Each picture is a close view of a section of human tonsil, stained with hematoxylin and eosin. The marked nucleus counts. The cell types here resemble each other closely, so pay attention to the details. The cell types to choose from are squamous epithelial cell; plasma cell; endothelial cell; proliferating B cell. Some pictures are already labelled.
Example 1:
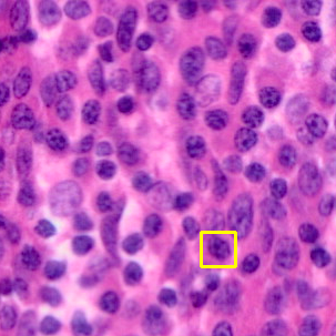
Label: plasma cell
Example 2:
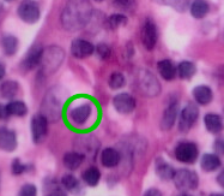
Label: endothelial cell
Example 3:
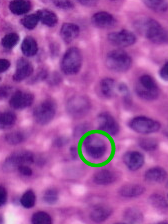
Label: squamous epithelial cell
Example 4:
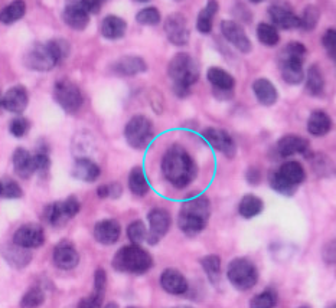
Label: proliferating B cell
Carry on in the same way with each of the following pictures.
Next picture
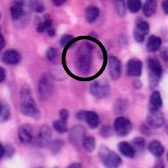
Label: endothelial cell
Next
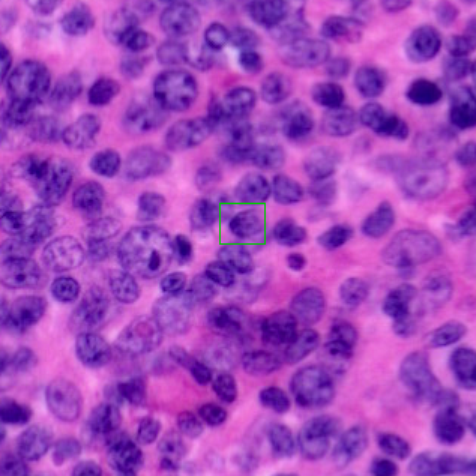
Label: proliferating B cell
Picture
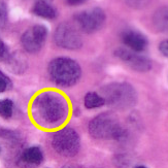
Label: squamous epithelial cell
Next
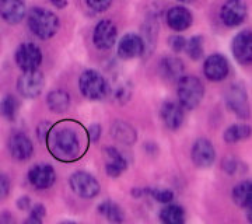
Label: plasma cell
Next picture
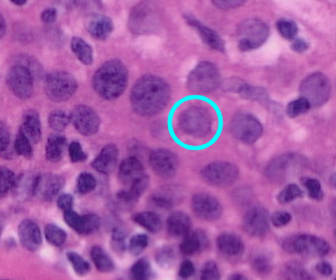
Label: squamous epithelial cell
